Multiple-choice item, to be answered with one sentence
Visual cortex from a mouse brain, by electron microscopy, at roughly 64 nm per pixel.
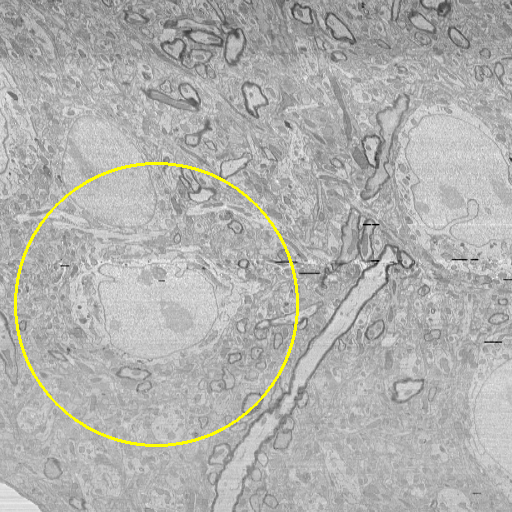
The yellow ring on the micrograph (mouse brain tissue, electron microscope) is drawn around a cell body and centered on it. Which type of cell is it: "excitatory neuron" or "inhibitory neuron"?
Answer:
The ring is centered on an excitatory neuron.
